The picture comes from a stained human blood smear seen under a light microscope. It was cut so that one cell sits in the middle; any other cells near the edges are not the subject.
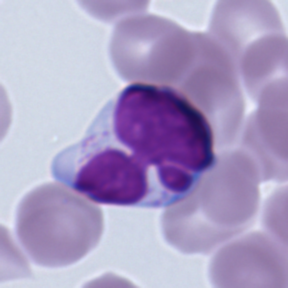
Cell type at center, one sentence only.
The cell under consideration, at the middle of the crop, is a large granular lymphocyte.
